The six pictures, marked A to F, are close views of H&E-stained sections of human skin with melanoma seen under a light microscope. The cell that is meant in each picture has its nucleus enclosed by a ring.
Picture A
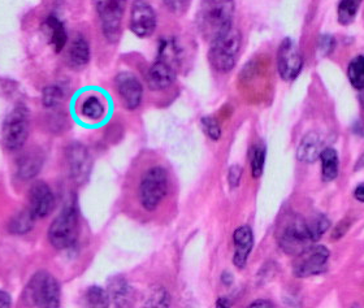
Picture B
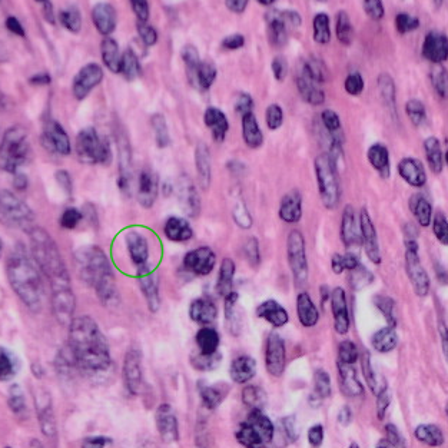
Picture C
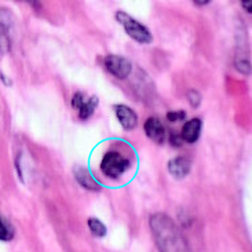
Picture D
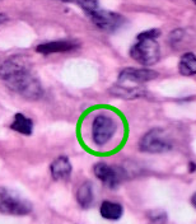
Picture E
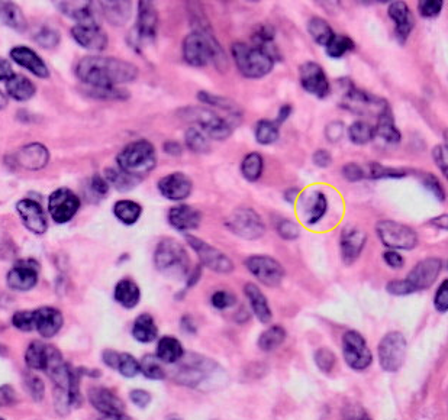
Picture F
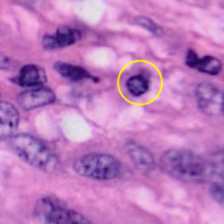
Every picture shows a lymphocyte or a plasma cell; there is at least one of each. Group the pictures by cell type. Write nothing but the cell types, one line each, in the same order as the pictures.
lymphocyte
lymphocyte
plasma cell
lymphocyte
lymphocyte
plasma cell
